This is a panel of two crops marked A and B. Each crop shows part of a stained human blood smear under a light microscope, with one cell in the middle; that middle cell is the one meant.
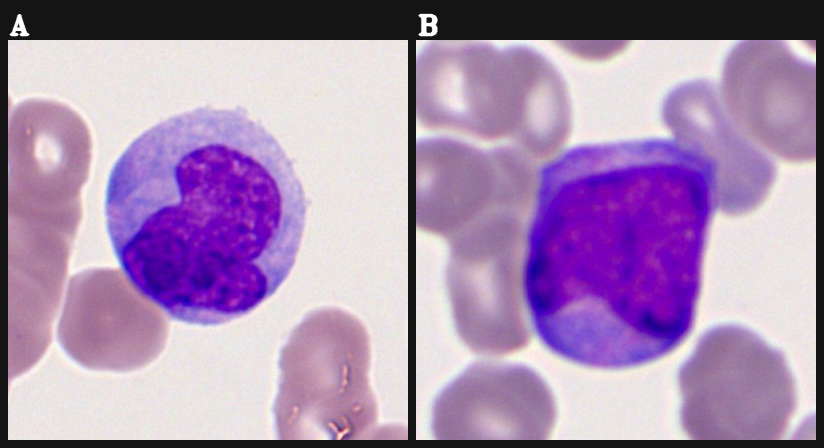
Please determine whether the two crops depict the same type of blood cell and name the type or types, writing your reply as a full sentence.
No, the cell centred in crop B is a myeloblast; crop A centres on a monocyte.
